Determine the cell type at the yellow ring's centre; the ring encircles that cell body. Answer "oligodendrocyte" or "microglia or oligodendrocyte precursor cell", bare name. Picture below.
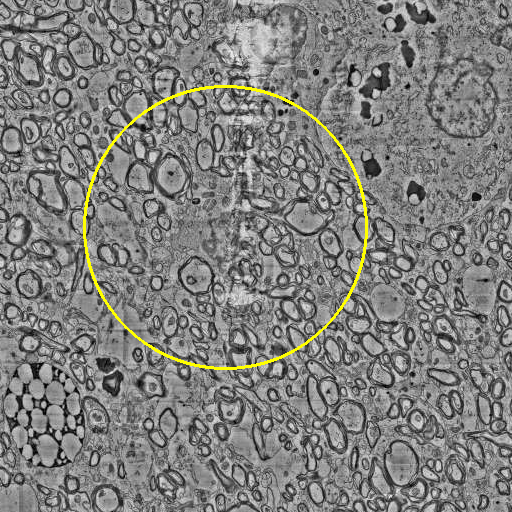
oligodendrocyte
